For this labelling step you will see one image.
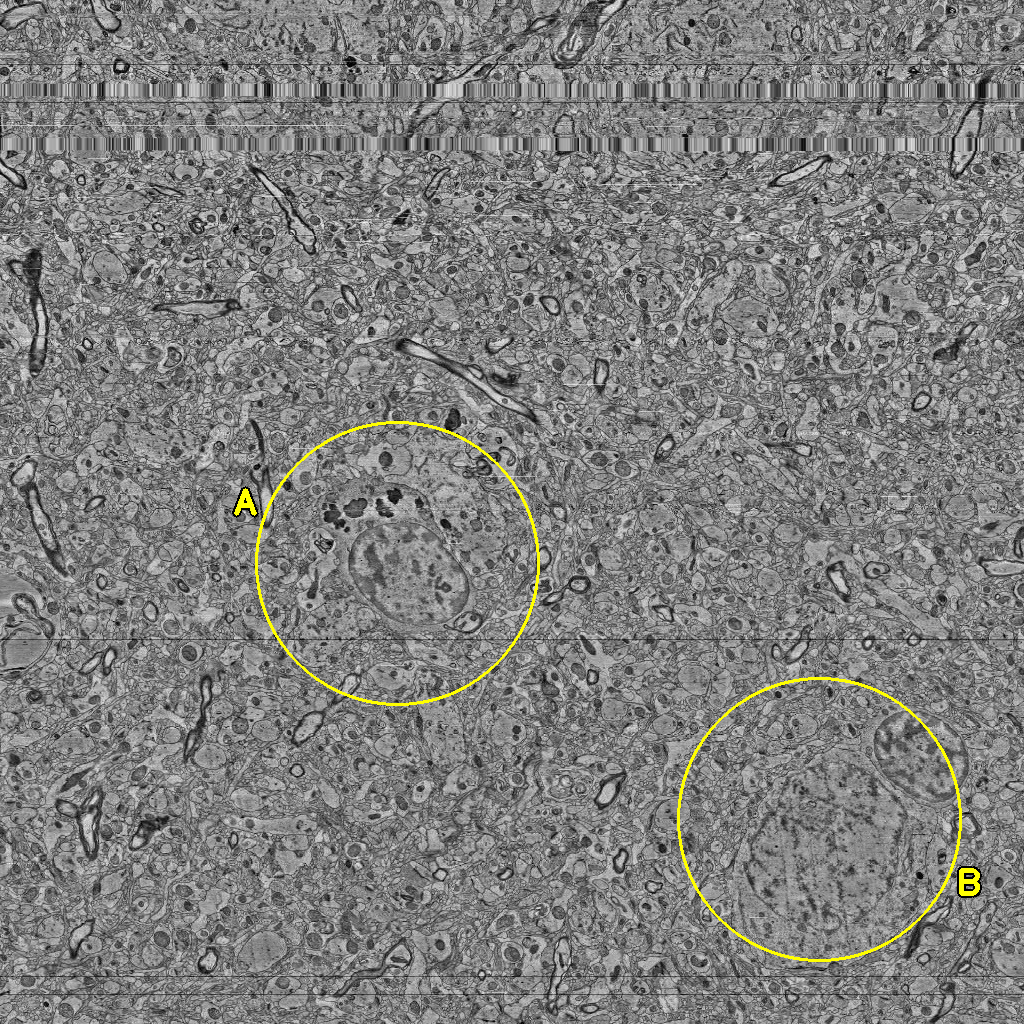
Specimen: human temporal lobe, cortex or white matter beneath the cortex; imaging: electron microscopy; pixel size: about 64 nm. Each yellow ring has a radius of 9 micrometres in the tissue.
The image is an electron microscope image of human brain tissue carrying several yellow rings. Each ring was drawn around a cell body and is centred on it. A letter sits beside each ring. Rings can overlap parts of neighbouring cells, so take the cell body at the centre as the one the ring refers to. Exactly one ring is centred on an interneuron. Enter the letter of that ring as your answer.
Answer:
B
